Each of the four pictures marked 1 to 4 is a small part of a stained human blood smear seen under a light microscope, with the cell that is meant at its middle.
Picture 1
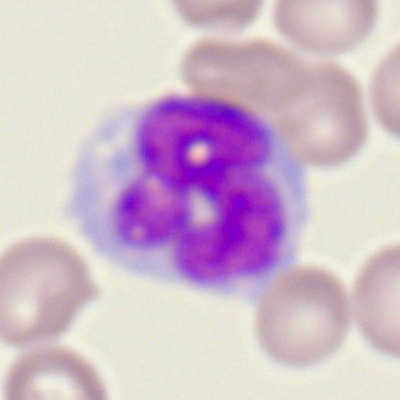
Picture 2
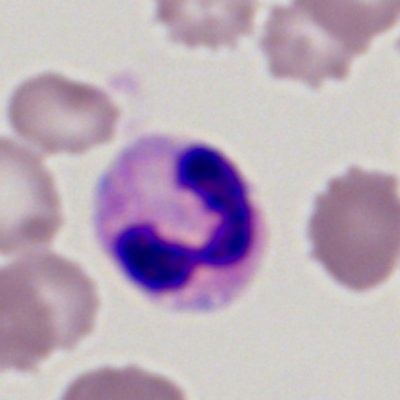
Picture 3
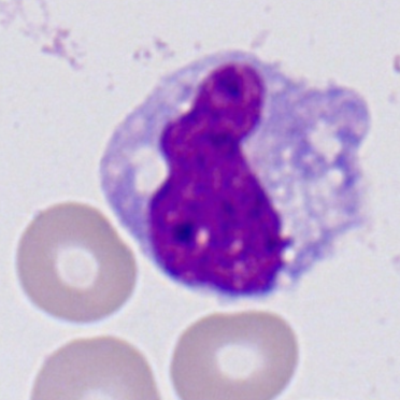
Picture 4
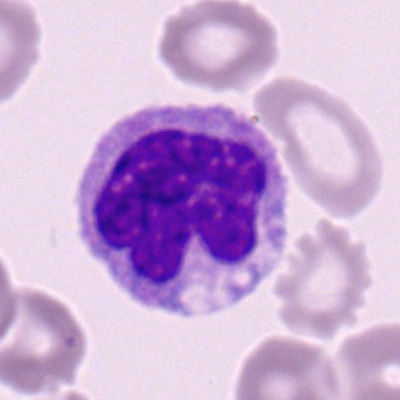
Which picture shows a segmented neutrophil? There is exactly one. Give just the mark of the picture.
2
